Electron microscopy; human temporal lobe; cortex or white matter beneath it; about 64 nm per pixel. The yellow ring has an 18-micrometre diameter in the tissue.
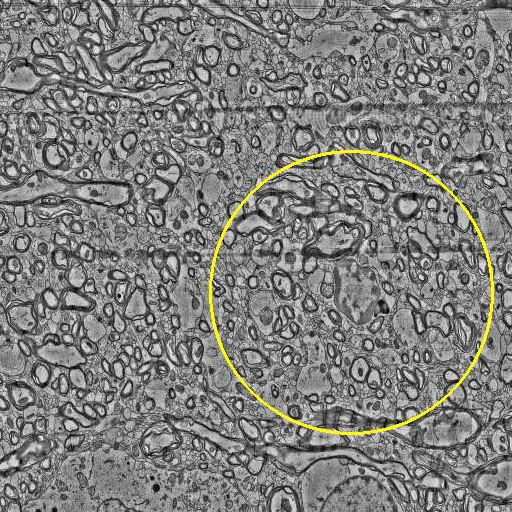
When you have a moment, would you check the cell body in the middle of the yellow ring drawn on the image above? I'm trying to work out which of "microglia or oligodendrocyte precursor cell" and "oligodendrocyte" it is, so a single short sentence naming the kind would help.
This cell body belongs to a microglial cell or oligodendrocyte precursor cell.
